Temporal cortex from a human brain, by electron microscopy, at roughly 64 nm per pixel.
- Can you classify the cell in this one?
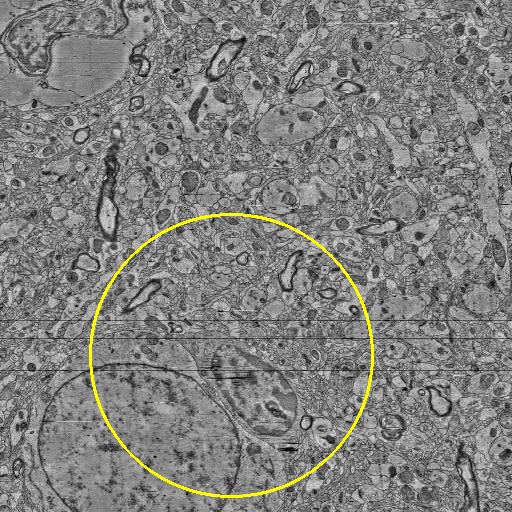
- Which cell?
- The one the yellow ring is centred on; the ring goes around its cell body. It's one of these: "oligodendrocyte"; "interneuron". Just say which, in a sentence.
The cell body in the ring belongs to an oligodendrocyte.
